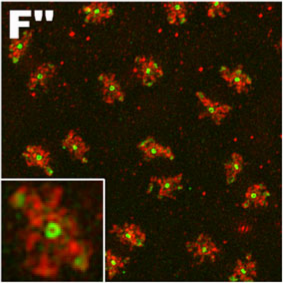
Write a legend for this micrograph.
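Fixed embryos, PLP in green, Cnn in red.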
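Many regularly spaced centrosomes are seen, each a bright green ring at the centre of an irregular, branched red meshwork. Small green patches also lie within and at the edges of the red material. The magnified inset shows one centrosome with the green ring in the middle and the red meshwork around it, green and red only partly overlapping at the periphery.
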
